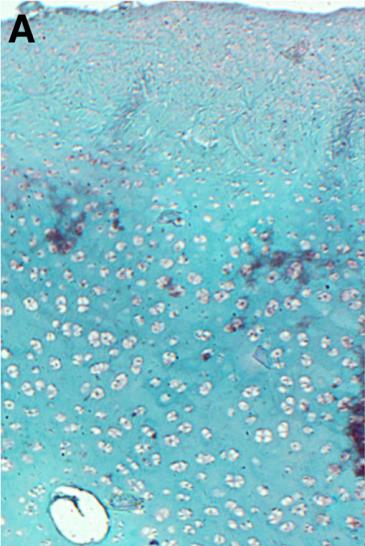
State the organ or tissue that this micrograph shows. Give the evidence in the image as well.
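A smooth free surface runs along the top edge. Rounded cells lie singly and in small groups within an abundant homogeneous matrix.
Conclusion: articular cartilage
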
